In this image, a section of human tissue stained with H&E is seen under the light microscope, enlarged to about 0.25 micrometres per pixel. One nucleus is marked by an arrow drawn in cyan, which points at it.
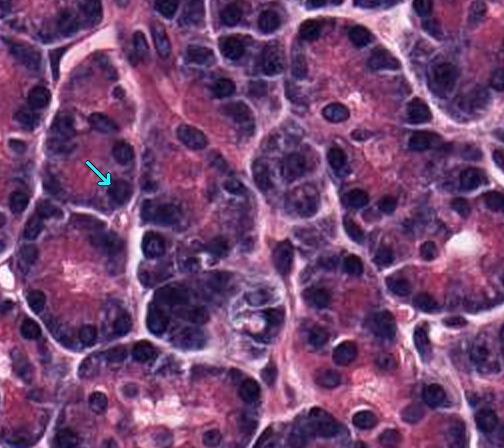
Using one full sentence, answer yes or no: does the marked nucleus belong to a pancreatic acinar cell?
Yes, it is within a pancreatic acinar cell that the marked nucleus lies.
